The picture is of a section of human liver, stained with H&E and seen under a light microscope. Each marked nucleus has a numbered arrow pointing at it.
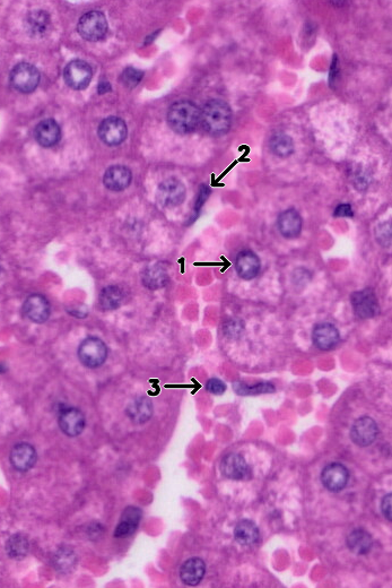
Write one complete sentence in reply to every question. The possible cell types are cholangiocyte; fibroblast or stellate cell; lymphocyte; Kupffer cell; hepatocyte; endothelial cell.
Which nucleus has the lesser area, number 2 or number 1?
Number 2 is smaller, since number 1 takes up about 1.5 times as much area.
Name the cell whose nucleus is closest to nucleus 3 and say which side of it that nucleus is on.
It is a Kupffer cell, whose nucleus lies to the right of nucleus 3.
